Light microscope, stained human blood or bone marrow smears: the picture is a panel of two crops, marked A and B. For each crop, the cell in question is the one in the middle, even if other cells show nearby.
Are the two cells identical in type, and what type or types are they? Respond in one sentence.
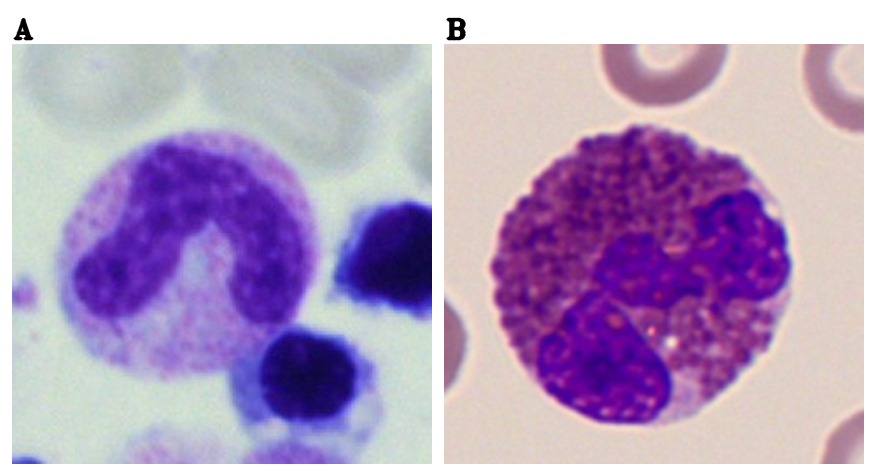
No, what crop A shows is a band neutrophil, and what crop B shows is an eosinophil.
